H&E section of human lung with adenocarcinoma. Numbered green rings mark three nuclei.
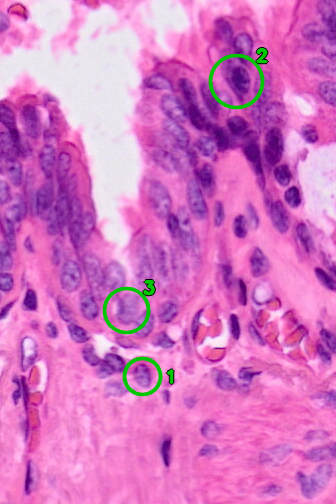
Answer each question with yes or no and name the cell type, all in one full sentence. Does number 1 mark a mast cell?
Yes, the cell with its nucleus marked 1 is a mast cell.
